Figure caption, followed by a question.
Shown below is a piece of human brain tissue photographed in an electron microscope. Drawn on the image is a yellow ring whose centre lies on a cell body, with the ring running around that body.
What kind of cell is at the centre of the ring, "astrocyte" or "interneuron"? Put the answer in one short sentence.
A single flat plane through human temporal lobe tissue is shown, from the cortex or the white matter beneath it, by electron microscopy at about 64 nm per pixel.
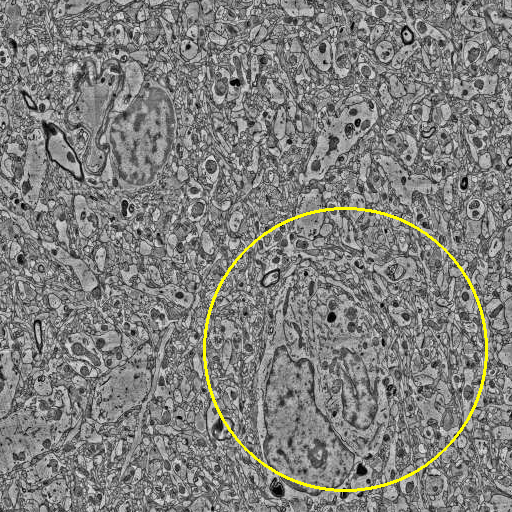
The ring marks the cell body of an interneuron.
